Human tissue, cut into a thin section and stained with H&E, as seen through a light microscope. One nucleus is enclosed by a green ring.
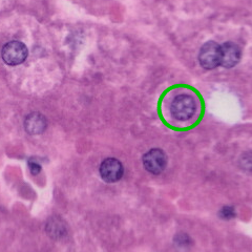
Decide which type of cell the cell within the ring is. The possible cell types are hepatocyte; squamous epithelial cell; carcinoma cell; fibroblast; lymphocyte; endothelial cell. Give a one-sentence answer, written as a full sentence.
With respect to cell type, the cell within the ring is a hepatocyte.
